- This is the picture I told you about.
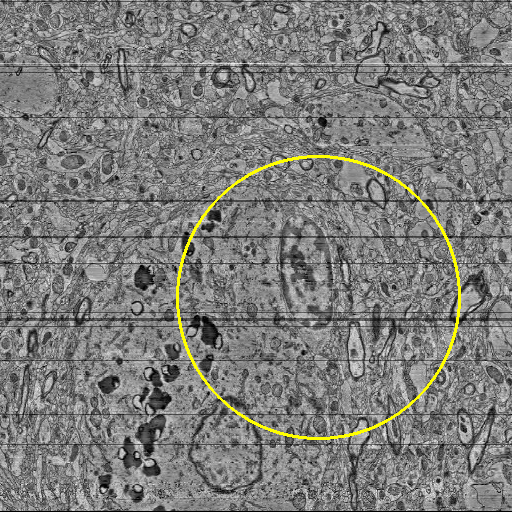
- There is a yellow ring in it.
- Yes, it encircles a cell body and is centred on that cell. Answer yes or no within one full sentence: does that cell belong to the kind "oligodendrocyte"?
No, the cell on which the yellow ring is centred belongs to a different kind.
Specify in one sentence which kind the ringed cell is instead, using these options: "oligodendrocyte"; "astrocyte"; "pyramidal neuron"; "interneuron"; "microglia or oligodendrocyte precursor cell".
The cell at the ring centre is a microglial cell or oligodendrocyte precursor cell.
